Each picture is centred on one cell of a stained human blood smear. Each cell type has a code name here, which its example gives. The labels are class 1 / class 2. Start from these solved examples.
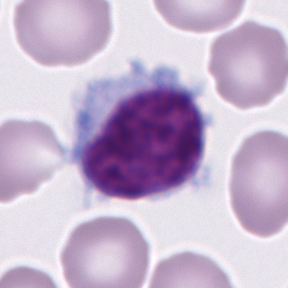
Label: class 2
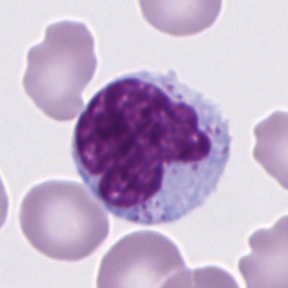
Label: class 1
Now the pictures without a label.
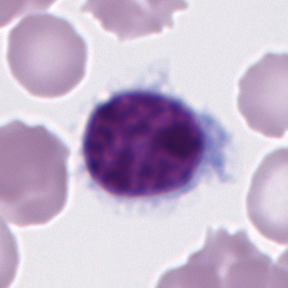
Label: class 2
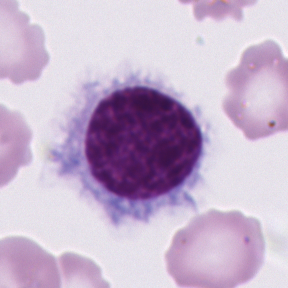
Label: class 2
